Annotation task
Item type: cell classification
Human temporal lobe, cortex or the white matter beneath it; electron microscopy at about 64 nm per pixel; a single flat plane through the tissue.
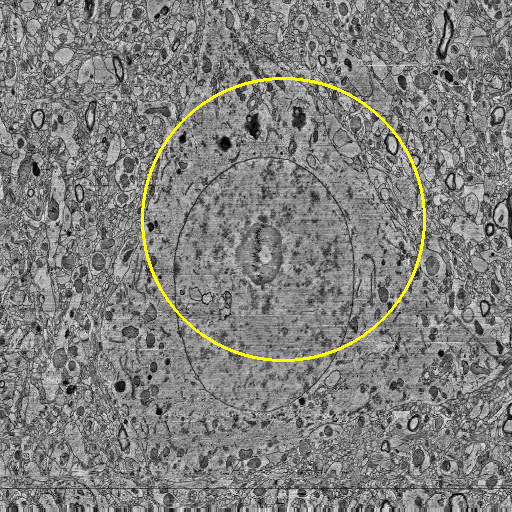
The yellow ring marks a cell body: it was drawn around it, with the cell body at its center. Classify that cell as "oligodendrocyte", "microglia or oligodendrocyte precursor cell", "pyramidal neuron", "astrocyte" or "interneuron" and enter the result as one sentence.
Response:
The ring's center falls on a pyramidal neuron.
